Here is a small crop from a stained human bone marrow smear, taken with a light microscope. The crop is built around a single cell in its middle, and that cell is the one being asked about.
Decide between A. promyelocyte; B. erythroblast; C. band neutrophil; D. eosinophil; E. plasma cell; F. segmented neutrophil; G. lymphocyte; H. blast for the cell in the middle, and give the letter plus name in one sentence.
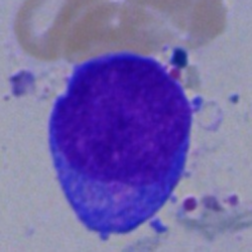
Option H is right, the centrally situated cell being a blast.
